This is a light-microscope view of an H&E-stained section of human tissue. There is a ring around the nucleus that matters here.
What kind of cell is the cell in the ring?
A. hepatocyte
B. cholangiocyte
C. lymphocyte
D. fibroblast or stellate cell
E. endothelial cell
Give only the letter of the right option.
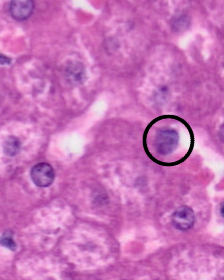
E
